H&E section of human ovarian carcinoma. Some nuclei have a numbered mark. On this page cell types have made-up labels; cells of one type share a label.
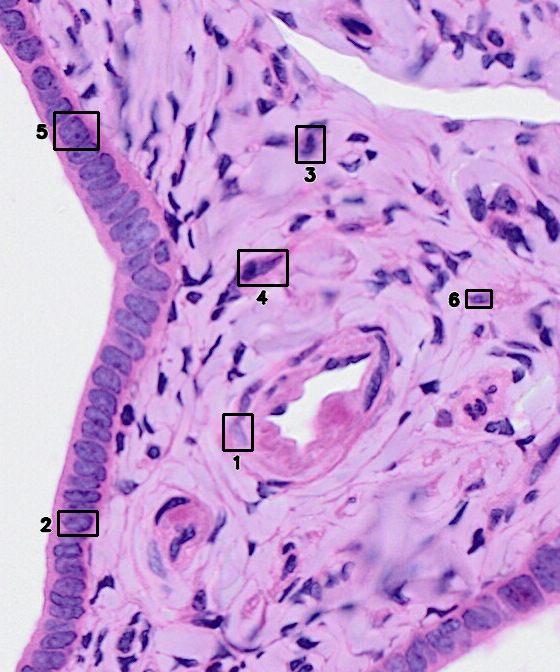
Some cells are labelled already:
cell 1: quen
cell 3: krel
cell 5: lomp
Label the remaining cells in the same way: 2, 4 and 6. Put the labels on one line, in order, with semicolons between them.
lomp; krel; quen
